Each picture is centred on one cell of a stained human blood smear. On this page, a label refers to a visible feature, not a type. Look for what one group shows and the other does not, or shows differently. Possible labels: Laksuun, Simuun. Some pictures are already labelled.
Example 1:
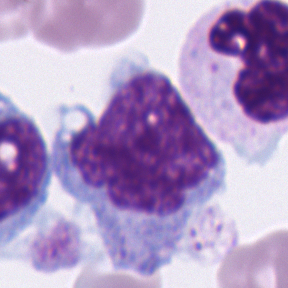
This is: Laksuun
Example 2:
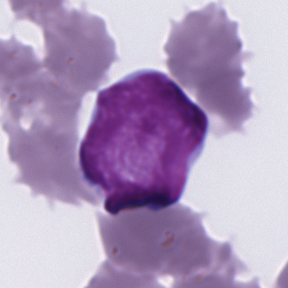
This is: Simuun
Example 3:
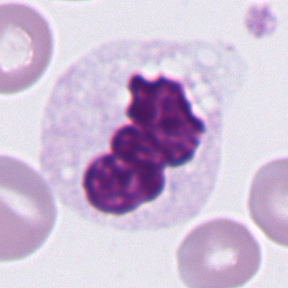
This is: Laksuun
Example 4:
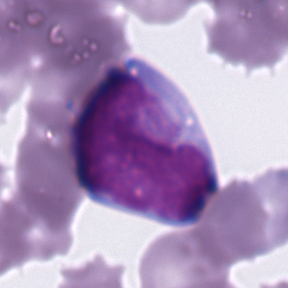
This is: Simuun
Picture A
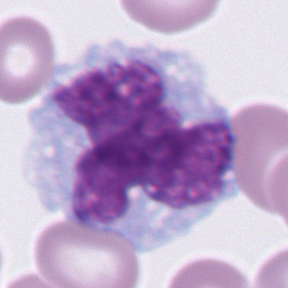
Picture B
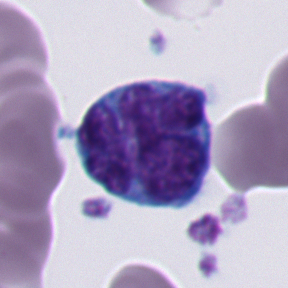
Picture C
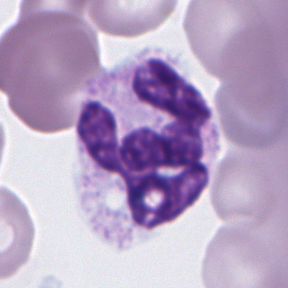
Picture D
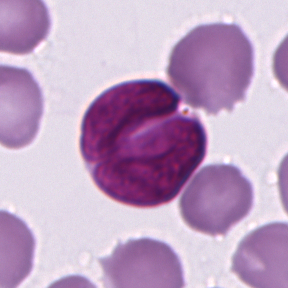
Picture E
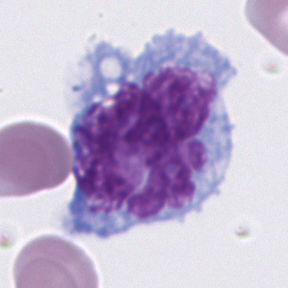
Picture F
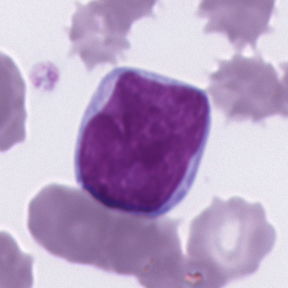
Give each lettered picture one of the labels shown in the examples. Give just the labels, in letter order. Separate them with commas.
Laksuun, Simuun, Laksuun, Simuun, Laksuun, Simuun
